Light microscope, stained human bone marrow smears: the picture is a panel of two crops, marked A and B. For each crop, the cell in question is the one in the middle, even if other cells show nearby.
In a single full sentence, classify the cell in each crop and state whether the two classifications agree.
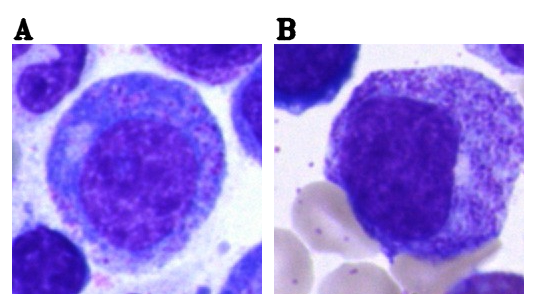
Yes, promyelocytes are present at the centre of both crops.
